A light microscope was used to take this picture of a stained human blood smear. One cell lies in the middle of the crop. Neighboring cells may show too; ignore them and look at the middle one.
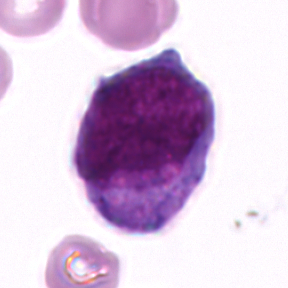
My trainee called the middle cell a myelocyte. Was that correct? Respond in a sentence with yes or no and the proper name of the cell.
No, it is an atypical promyelocyte rather than a myelocyte that the middle of the crop contains.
